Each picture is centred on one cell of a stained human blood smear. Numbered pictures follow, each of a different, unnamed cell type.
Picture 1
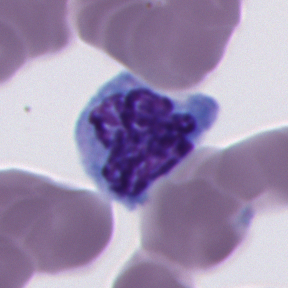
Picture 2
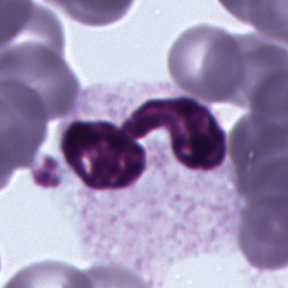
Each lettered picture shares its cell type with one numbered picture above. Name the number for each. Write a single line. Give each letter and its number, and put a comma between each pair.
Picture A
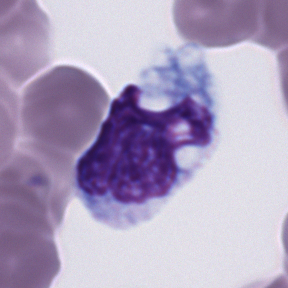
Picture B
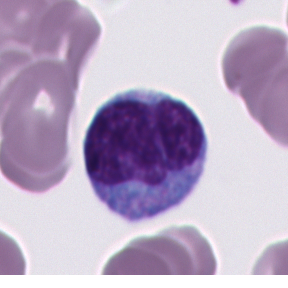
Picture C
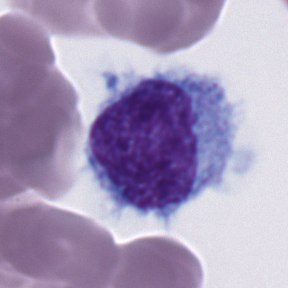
A 1, B 1, C 1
